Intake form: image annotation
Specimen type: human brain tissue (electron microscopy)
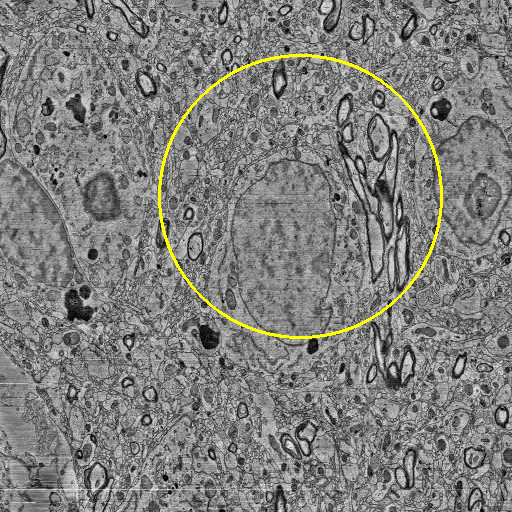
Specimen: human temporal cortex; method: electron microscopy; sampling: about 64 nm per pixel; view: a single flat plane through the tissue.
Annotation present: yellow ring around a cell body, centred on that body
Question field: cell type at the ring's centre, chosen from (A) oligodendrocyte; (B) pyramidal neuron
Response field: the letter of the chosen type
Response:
B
